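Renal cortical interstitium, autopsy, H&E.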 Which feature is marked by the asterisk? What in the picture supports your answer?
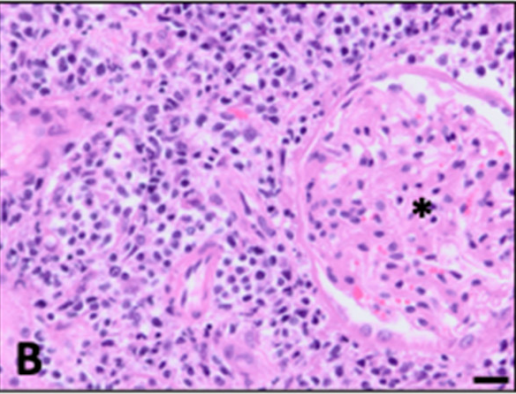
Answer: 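Glomeruli. A rounded tuft of cells lies inside a thin capsule with a clear space around it. The tuft is ringed by densely packed round cells.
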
